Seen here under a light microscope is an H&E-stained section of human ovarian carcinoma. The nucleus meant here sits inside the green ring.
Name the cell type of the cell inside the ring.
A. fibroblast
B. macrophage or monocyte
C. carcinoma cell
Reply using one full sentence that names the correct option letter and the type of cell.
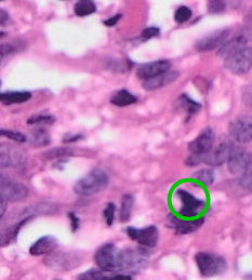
The right pick is option C; the cell inside the ring is a carcinoma cell.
